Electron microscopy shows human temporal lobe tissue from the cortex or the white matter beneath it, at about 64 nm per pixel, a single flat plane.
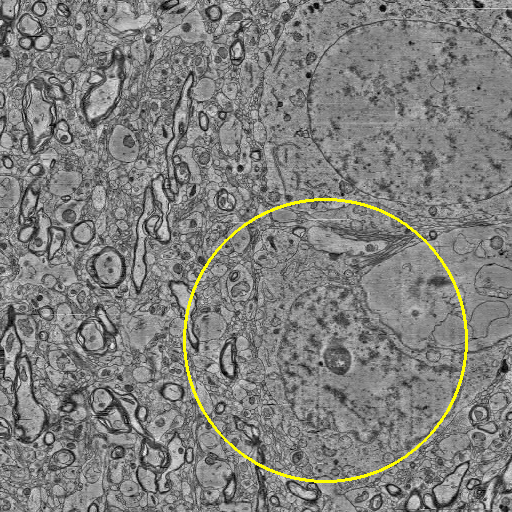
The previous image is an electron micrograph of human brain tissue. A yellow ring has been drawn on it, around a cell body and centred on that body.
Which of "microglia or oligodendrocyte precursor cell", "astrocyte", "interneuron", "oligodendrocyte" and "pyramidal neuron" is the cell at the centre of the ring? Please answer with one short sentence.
The cell body at the centre of the ring belongs to an interneuron.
